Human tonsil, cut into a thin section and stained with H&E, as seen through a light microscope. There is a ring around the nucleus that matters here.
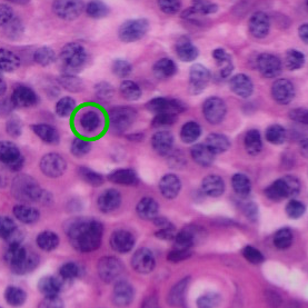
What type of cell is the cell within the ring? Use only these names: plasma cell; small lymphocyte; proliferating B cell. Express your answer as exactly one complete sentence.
To be brief about it, the cell within the ring is a plasma cell.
